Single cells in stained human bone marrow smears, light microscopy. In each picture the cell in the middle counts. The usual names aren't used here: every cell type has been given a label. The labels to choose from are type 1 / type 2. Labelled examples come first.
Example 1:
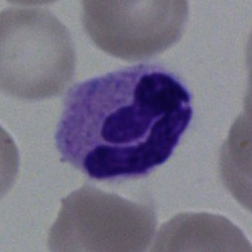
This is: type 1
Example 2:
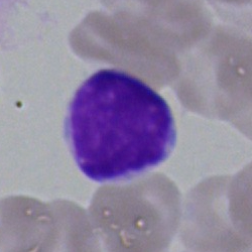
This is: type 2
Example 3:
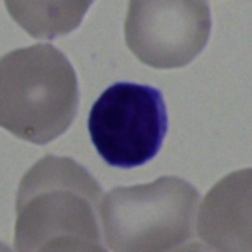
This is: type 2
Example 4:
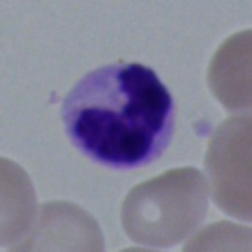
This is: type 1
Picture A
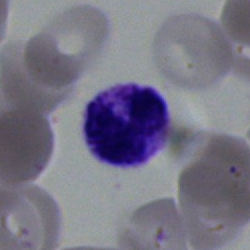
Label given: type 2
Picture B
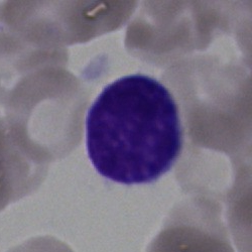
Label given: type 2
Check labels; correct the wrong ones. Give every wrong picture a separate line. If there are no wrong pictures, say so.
A: not type 2 but type 1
